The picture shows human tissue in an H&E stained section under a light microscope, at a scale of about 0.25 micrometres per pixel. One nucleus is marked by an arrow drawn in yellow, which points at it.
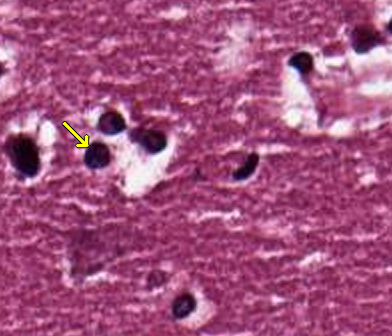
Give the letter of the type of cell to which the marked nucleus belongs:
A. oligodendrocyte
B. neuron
A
